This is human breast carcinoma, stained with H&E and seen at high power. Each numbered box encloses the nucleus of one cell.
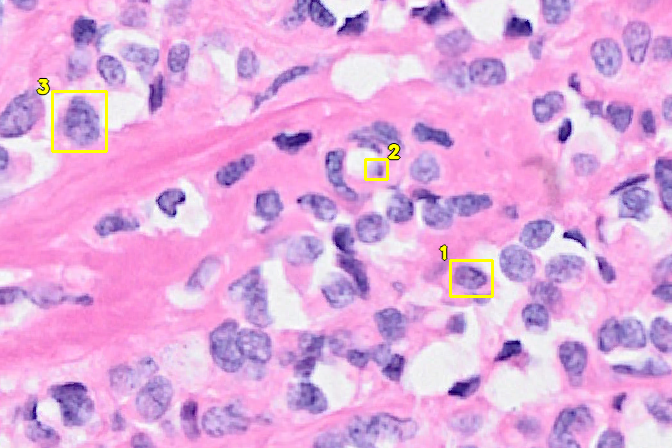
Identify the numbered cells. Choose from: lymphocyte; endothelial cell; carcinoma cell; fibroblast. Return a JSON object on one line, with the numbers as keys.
{"1": "carcinoma cell", "2": "endothelial cell", "3": "carcinoma cell"}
